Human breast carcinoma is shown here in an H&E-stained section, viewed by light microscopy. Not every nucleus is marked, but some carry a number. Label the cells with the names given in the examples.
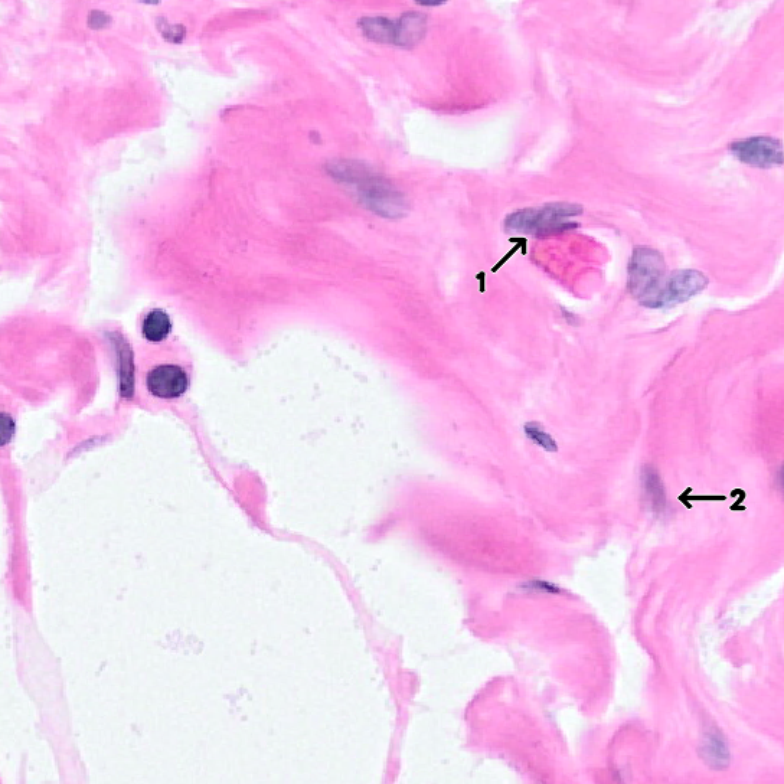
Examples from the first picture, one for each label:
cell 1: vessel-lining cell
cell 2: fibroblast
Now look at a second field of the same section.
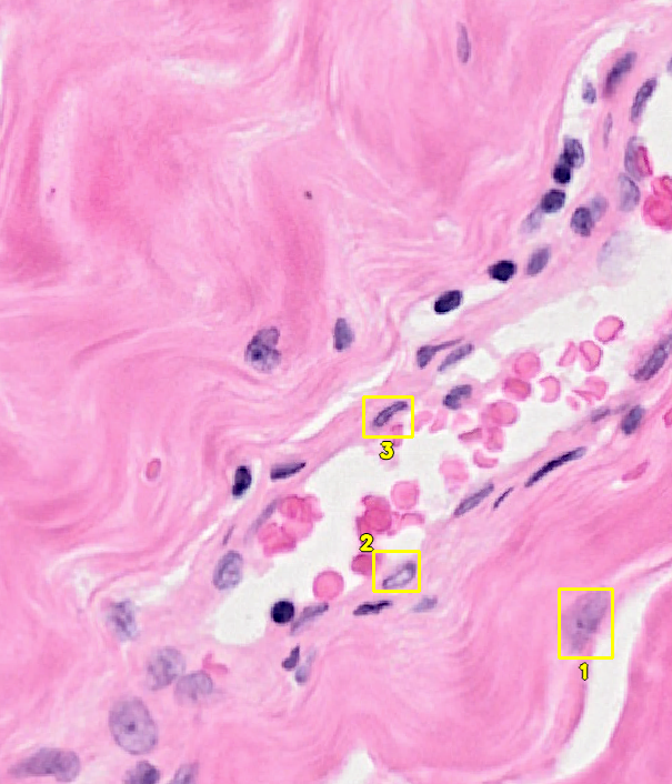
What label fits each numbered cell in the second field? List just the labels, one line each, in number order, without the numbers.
fibroblast
vessel-lining cell
vessel-lining cell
